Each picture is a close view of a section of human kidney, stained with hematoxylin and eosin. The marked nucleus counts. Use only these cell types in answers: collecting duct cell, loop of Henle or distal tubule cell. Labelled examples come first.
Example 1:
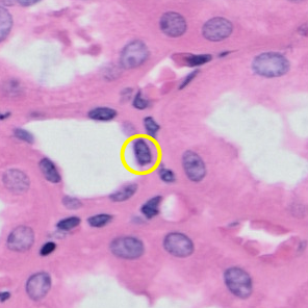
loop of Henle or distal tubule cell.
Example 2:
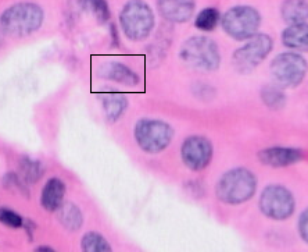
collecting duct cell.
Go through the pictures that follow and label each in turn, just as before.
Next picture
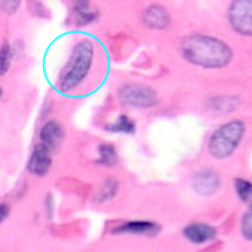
collecting duct cell.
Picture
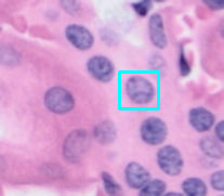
collecting duct cell.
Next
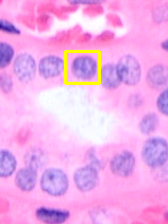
collecting duct cell.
